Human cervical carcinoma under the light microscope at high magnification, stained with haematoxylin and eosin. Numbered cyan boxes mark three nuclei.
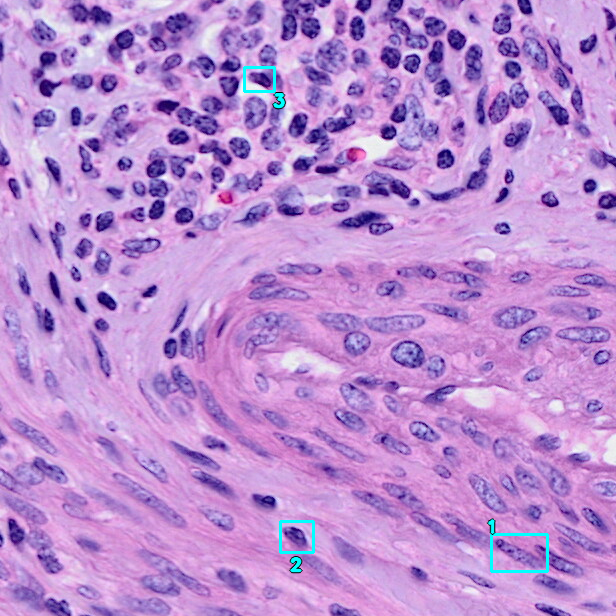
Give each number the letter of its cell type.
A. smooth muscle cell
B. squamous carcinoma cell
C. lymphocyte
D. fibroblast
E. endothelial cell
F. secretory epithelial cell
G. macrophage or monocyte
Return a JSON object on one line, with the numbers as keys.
{"1": "A", "2": "C", "3": "C"}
